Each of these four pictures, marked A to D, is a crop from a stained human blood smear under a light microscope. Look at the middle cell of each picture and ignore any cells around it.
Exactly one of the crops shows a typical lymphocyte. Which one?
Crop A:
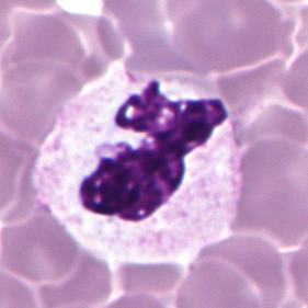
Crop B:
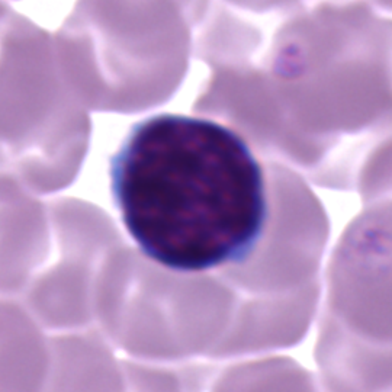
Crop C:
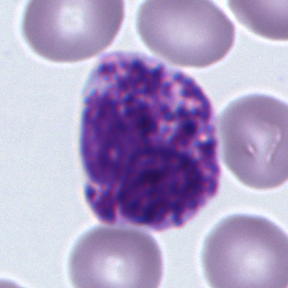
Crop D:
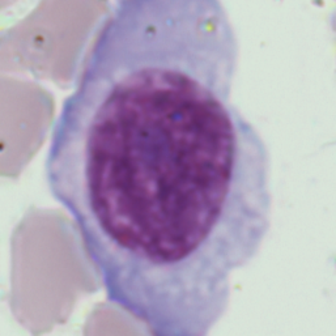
B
